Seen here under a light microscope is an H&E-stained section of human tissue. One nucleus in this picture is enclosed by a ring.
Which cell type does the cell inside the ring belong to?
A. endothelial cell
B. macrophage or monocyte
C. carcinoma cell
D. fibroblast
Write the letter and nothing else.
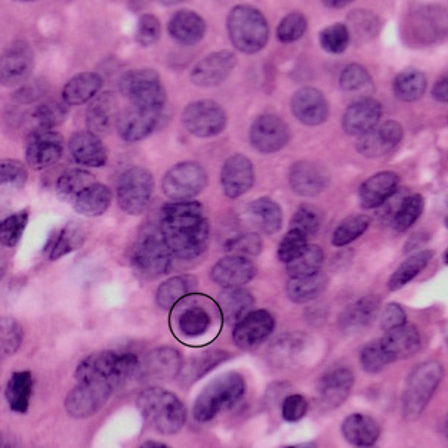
C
